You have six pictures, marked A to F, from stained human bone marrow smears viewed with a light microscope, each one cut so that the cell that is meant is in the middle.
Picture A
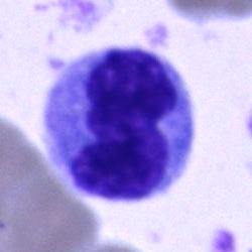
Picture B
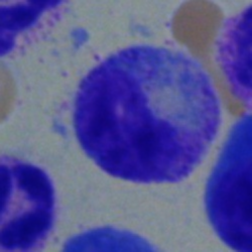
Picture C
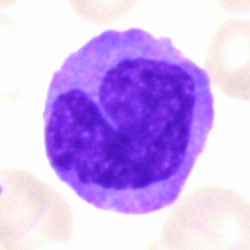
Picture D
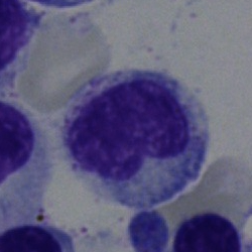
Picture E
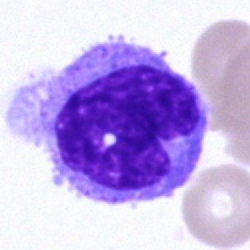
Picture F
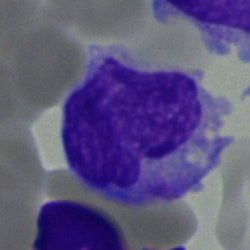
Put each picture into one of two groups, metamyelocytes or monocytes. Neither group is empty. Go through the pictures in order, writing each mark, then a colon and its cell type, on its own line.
A: monocyte
B: metamyelocyte
C: monocyte
D: metamyelocyte
E: monocyte
F: monocyte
